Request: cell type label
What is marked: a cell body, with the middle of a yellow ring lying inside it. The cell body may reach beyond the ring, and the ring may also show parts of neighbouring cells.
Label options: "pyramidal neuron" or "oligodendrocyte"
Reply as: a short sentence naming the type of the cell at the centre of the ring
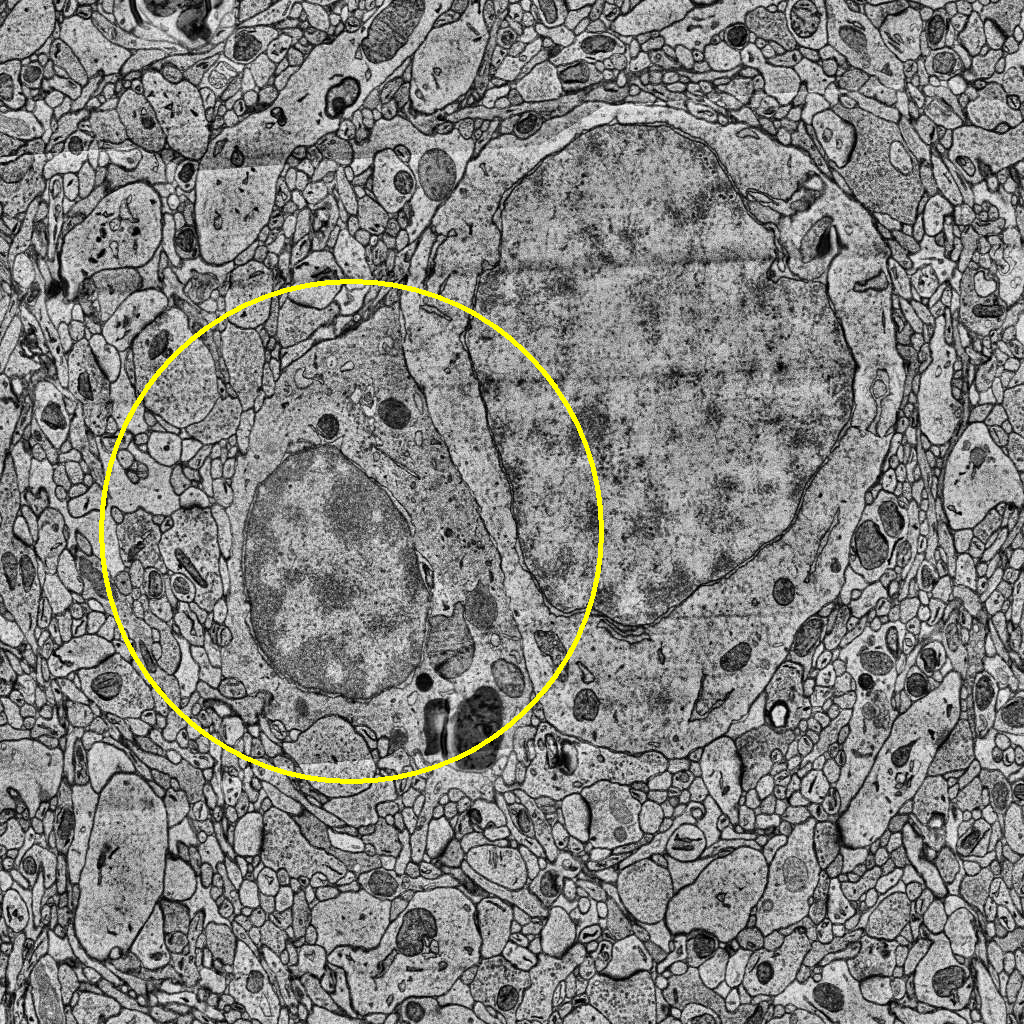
The marked cell body is that of an oligodendrocyte.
